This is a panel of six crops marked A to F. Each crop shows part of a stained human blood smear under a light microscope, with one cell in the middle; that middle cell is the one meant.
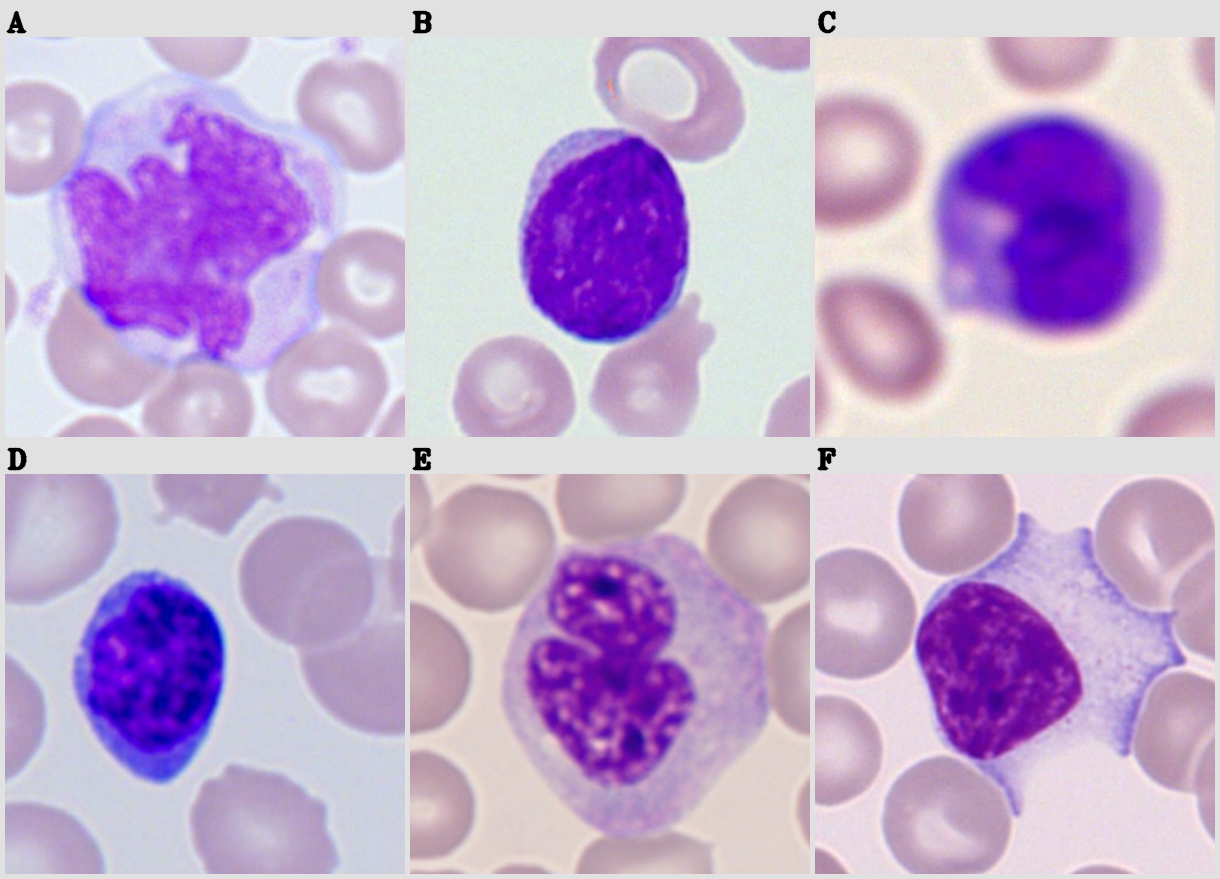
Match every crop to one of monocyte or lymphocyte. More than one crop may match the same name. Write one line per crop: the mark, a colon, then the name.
A: monocyte
B: lymphocyte
C: monocyte
D: lymphocyte
E: monocyte
F: lymphocyte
